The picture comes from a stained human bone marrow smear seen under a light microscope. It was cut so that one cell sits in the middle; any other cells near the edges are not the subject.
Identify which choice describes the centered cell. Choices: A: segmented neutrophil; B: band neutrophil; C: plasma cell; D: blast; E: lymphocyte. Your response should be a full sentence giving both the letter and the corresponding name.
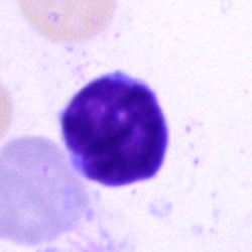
Option E gives the correct identity of the central cell, namely a lymphocyte.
